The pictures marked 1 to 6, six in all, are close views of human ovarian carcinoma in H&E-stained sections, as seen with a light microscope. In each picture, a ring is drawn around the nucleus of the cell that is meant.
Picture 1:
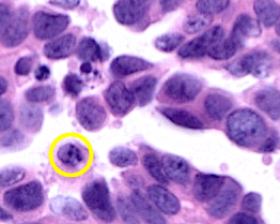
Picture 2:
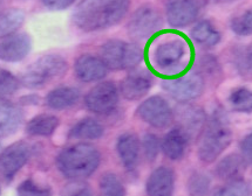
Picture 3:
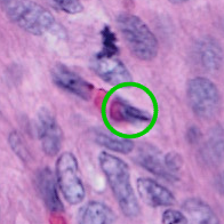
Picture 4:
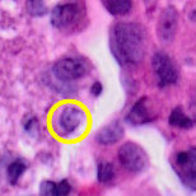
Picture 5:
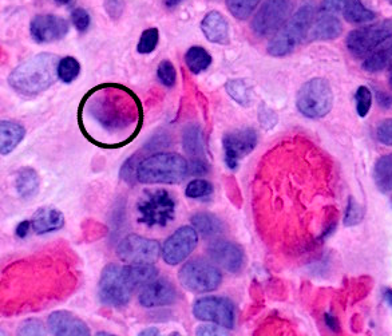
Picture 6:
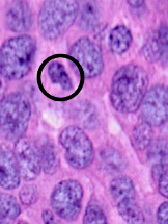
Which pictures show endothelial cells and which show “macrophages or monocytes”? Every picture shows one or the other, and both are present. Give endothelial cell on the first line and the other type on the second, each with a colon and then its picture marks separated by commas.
endothelial cell: 3, 5
macrophage or monocyte: 1, 2, 4, 6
